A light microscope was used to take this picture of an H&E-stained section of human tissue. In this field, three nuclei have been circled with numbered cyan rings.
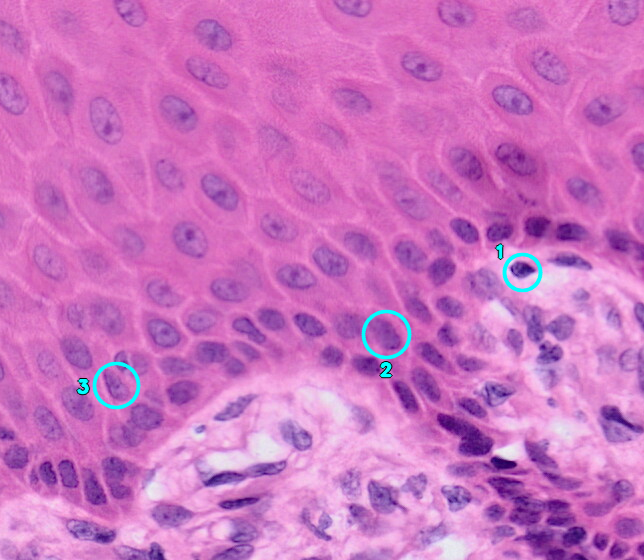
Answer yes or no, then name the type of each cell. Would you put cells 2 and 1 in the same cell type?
No, the cell tagged 2 is a keratinocyte, whereas the cell tagged 1 is a lymphocyte.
